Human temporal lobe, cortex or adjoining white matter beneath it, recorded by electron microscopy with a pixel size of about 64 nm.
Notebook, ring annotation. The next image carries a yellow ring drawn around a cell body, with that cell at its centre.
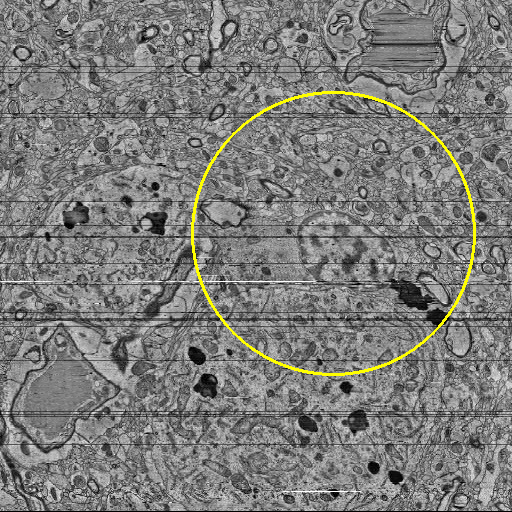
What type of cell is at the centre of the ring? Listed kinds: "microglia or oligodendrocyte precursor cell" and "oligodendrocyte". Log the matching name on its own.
oligodendrocyte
